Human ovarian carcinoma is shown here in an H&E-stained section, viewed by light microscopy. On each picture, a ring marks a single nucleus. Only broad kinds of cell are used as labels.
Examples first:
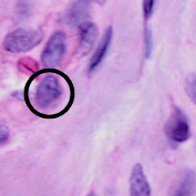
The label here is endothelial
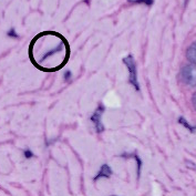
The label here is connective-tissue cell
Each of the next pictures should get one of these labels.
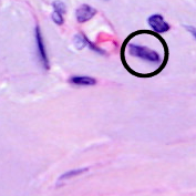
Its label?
connective-tissue cell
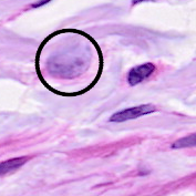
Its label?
connective-tissue cell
